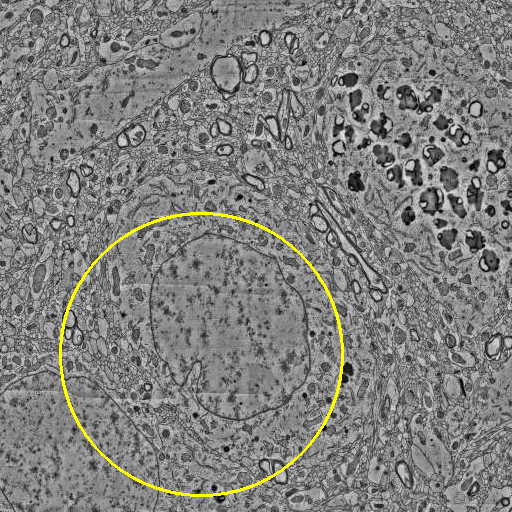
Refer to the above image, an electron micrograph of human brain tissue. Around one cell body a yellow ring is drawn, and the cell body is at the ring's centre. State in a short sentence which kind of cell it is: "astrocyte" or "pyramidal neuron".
The centre of the ring falls on a pyramidal neuron.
